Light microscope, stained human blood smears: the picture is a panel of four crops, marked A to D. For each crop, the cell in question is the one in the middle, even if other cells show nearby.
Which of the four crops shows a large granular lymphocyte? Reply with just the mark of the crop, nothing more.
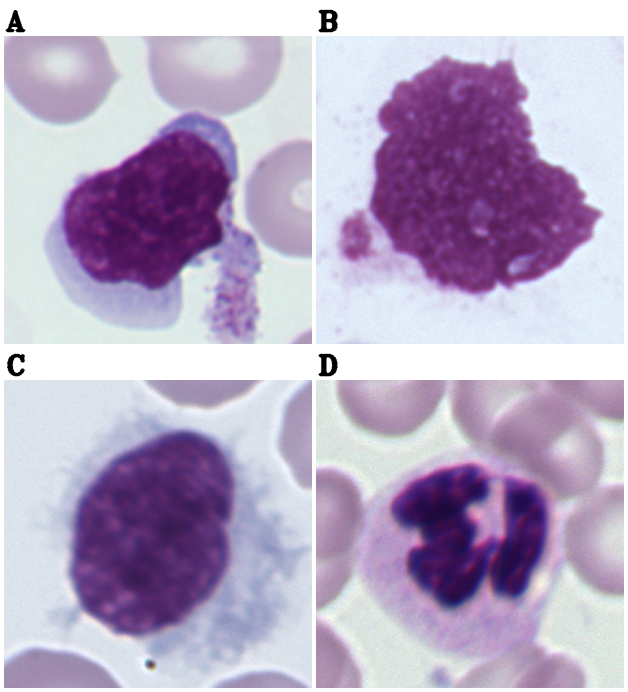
A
